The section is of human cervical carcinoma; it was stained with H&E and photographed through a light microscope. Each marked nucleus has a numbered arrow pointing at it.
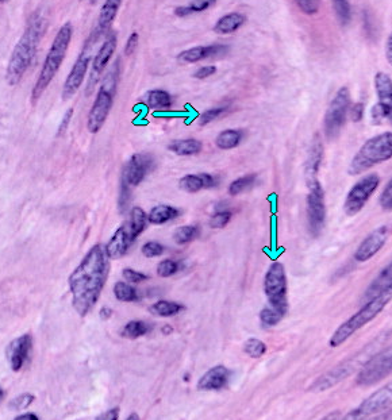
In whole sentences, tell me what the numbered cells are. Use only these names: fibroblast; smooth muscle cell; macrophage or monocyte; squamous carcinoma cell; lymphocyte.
Cell 1 is a fibroblast. Cell 2 is a smooth muscle cell.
